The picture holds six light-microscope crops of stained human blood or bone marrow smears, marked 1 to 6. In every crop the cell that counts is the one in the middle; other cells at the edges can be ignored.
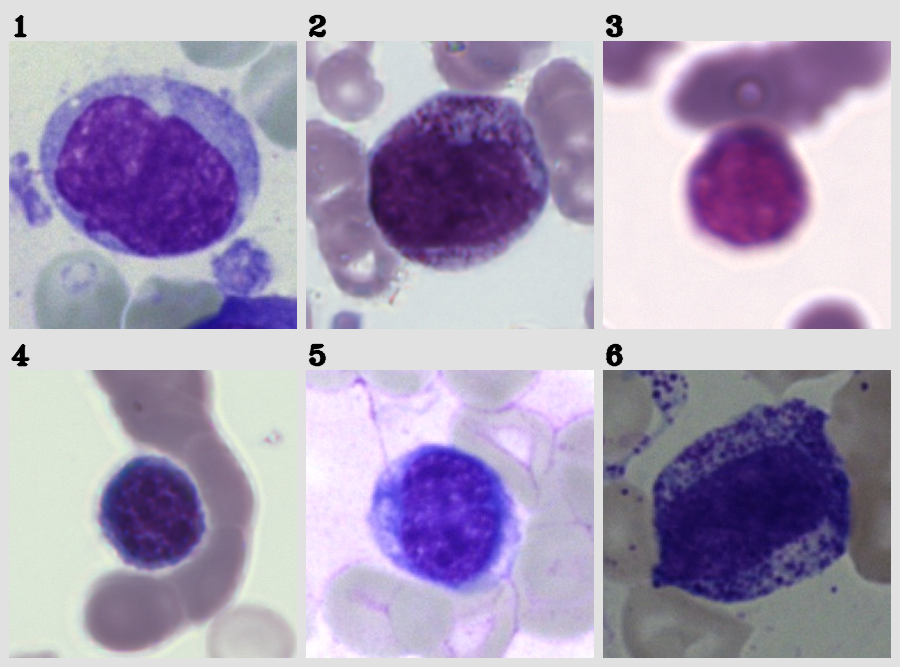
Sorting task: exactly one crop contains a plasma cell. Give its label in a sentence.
Selected crop: 4, which is the one that shows a plasma cell.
